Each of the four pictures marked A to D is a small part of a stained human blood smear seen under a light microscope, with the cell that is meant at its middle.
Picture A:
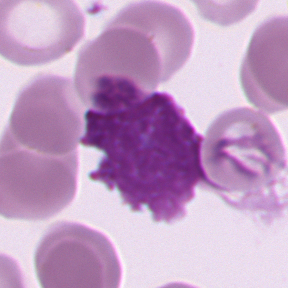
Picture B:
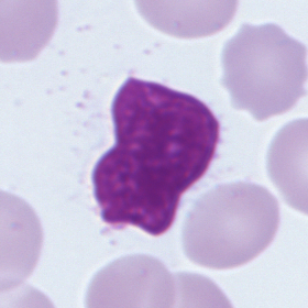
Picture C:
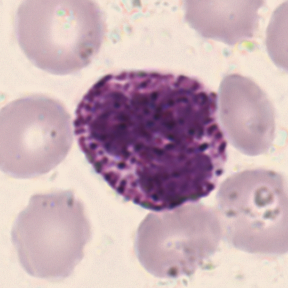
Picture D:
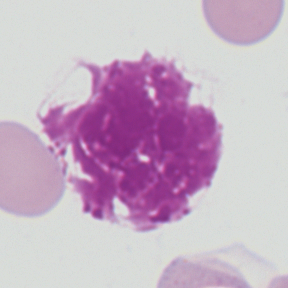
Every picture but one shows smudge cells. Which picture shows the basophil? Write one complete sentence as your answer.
The picture with the basophil is C.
